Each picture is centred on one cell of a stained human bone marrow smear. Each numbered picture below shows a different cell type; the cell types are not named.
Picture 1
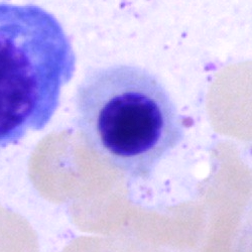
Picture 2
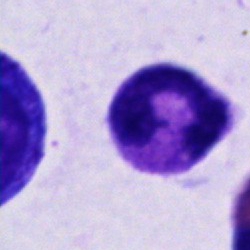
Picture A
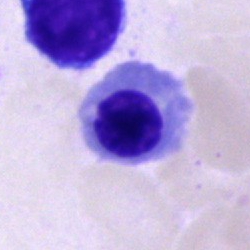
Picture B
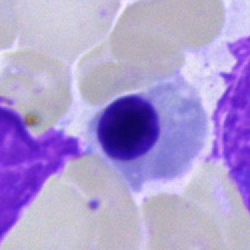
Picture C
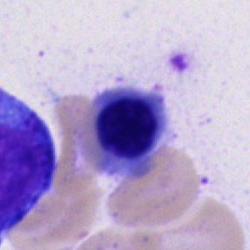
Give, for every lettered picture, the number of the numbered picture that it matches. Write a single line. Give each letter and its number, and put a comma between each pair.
A 1, B 1, C 1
